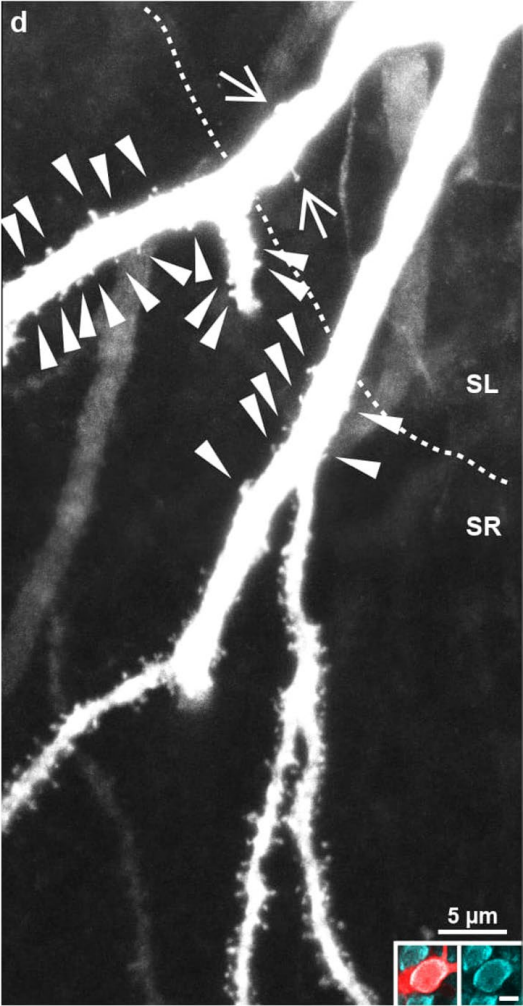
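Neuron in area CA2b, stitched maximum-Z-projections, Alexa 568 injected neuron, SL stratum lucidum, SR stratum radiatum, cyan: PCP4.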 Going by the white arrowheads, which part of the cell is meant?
classical spines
